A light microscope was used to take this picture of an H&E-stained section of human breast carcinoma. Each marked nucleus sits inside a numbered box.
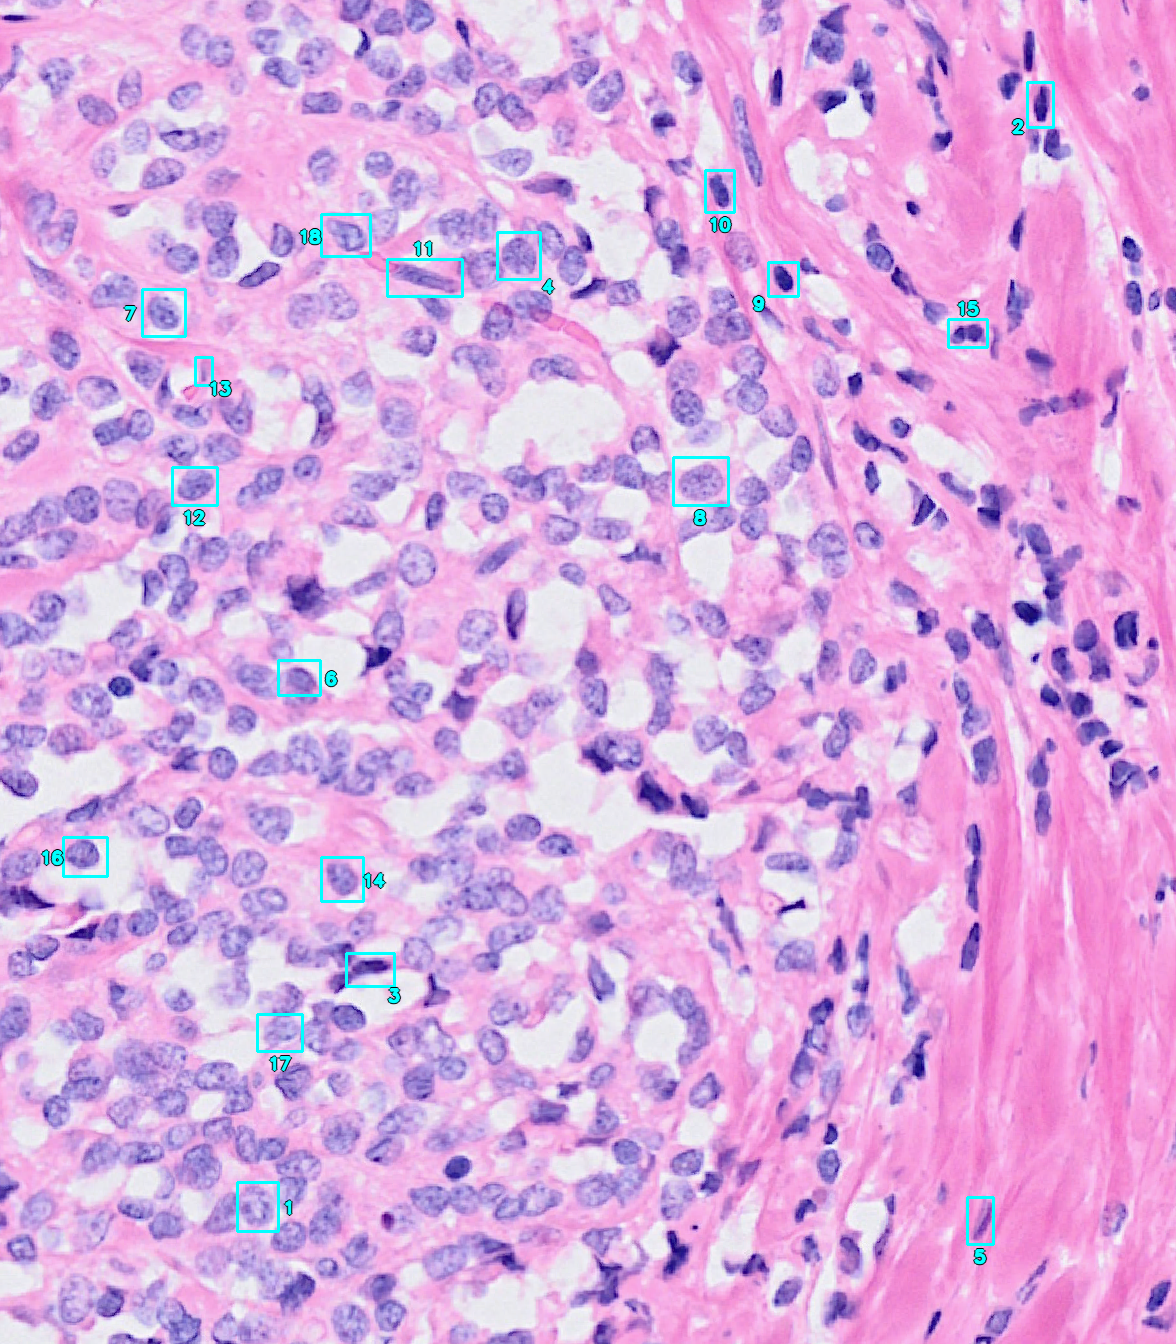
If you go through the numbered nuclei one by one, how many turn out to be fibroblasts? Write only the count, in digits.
1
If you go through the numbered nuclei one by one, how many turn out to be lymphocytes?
4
